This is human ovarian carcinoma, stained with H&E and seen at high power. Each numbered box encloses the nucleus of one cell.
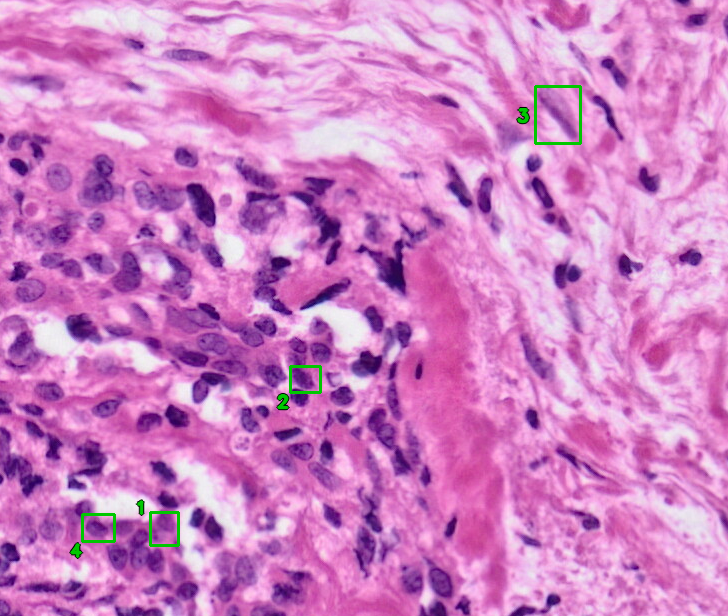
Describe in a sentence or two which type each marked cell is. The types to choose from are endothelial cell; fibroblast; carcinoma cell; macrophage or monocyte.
Cell 1 is a carcinoma cell, cell 2 is a carcinoma cell, cell 3 is a fibroblast and cell 4 is a carcinoma cell.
